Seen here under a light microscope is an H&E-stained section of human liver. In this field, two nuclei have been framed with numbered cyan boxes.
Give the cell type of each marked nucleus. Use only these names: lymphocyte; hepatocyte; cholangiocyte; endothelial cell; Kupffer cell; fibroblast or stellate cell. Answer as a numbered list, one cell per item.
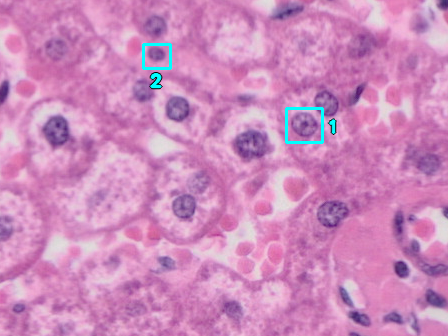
1. hepatocyte
2. lymphocyte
